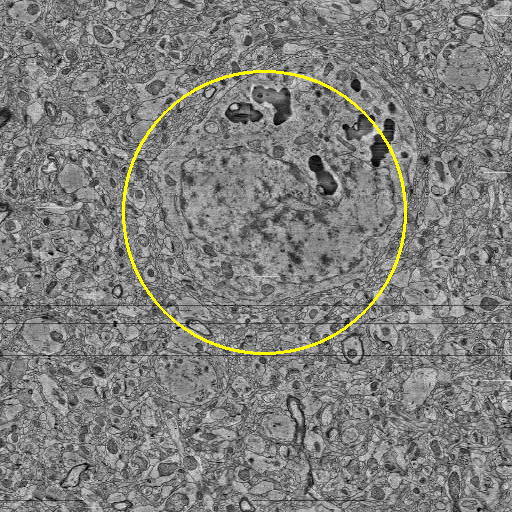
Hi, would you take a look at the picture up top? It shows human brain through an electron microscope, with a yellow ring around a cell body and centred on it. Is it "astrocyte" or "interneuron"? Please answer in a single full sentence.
The best fit for the cell in the middle of the ring is an interneuron, I reckon.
